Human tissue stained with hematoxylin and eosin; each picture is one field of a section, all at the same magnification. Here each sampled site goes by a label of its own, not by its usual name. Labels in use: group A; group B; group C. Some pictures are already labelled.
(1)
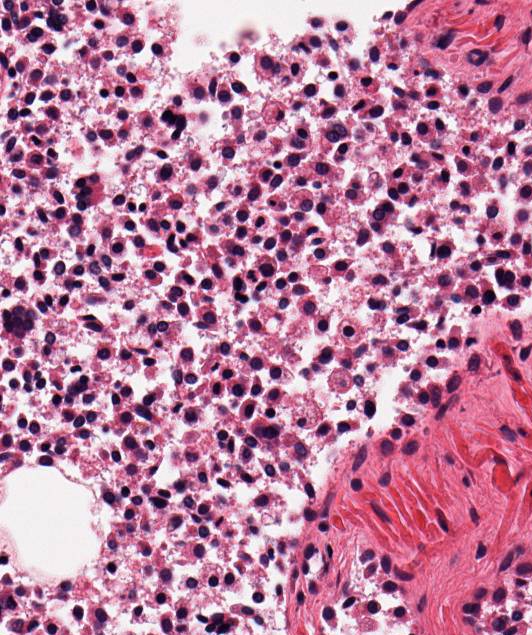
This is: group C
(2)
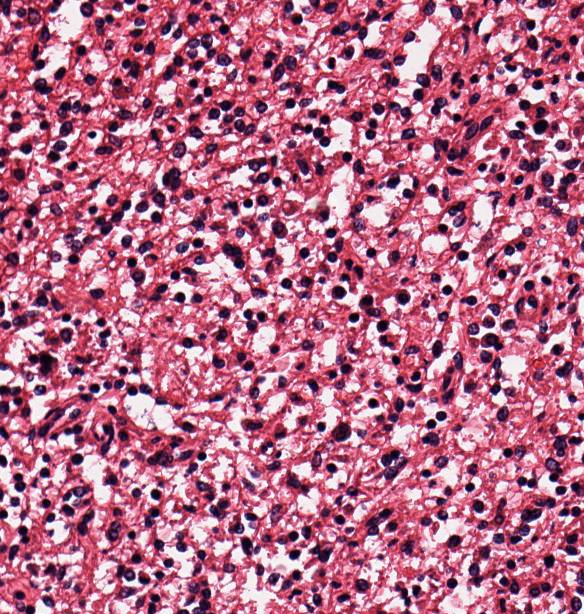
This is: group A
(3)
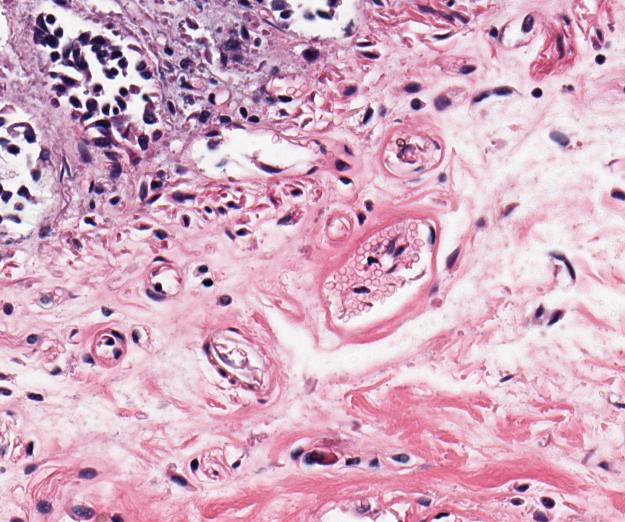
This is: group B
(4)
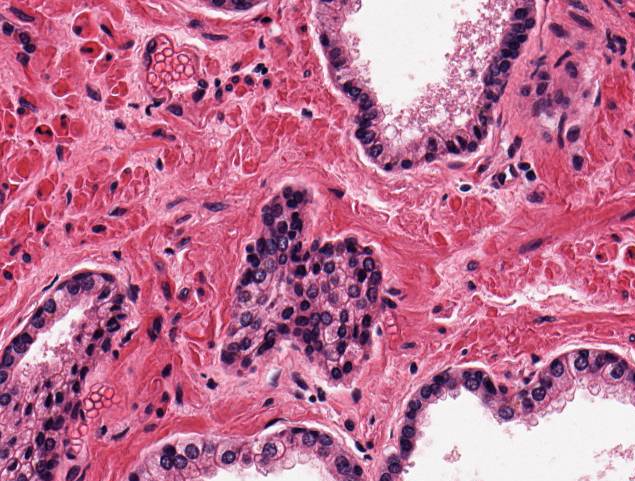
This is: group C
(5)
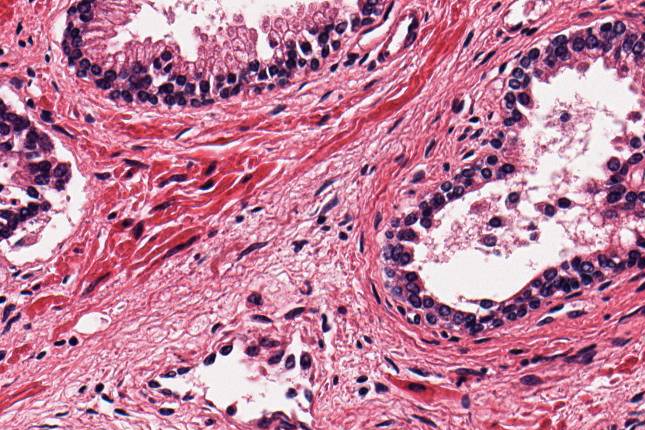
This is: group C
